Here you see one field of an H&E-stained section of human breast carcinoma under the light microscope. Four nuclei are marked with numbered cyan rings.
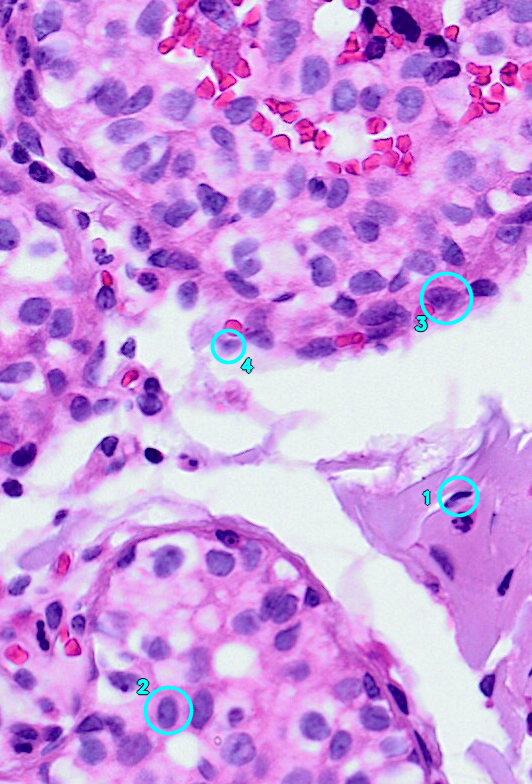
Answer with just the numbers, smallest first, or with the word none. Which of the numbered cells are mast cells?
none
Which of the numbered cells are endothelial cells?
3, 4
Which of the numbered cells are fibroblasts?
1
